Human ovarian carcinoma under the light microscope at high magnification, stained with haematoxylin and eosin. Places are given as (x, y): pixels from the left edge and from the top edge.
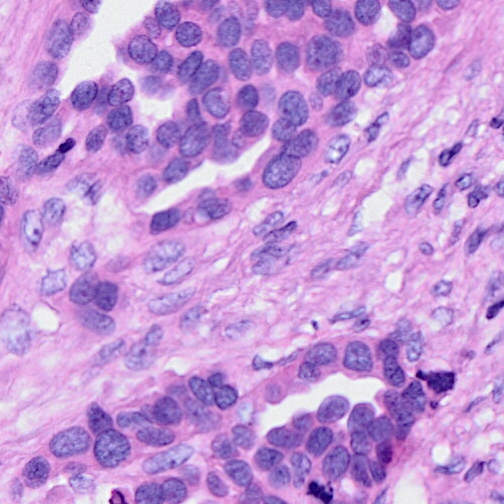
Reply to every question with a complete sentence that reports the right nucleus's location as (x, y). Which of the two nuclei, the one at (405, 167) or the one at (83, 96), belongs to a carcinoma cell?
Of the two options, the nucleus at (83, 96) is the one that belongs to a carcinoma cell.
